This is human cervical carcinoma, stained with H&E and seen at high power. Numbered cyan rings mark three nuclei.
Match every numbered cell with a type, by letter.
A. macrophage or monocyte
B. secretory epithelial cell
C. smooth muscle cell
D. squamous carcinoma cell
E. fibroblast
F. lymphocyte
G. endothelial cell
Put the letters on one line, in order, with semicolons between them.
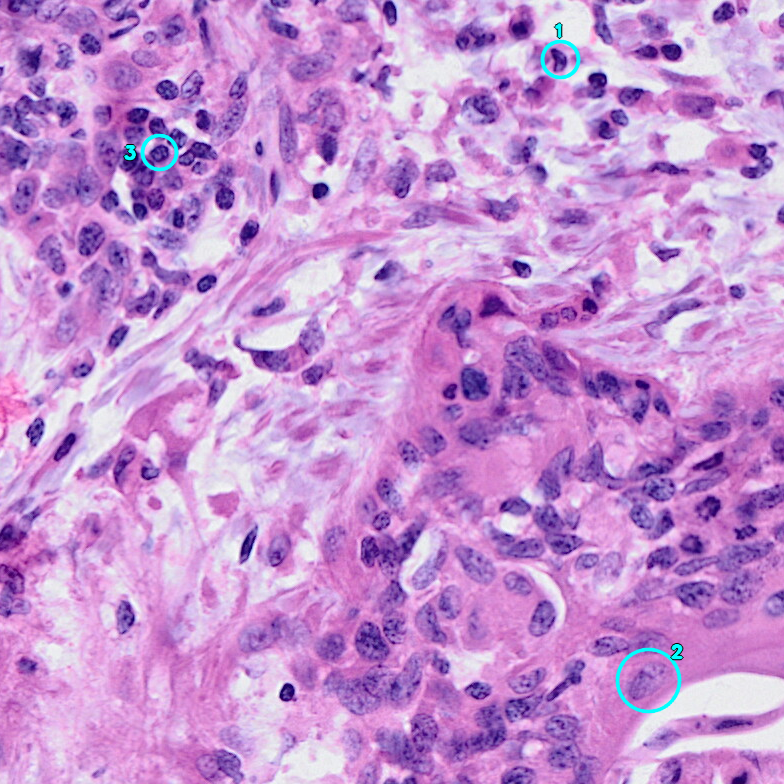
F; D; F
